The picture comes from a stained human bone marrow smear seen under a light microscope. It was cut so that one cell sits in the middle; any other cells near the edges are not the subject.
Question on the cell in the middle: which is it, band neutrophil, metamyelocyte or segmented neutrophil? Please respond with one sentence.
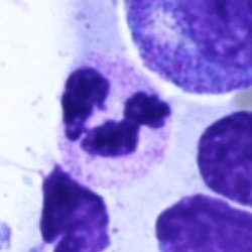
In this smear crop, the middle cell is a segmented neutrophil.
